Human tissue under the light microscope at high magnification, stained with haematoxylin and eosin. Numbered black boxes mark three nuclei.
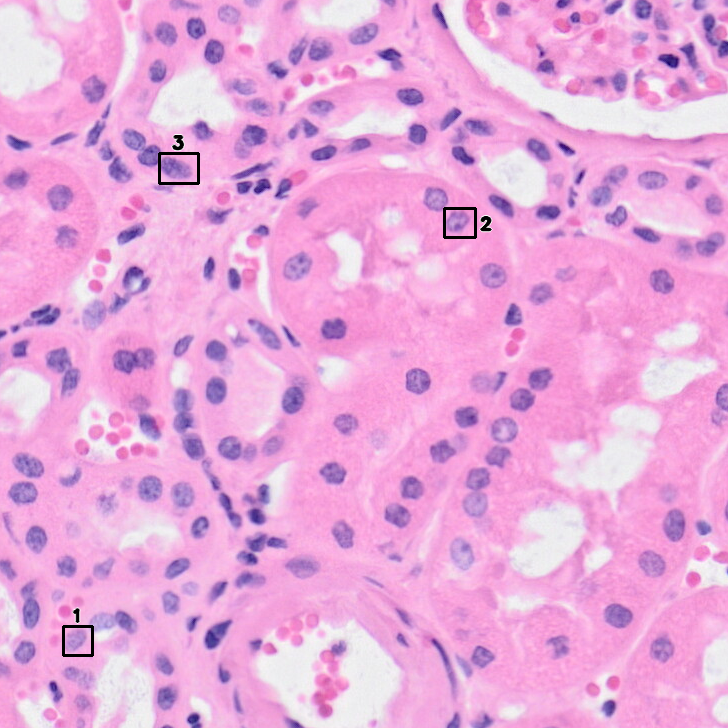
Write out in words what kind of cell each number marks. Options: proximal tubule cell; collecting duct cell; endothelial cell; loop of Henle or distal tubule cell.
Cells 1 and 3 are collecting duct cells. Cell 2 is a proximal tubule cell.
